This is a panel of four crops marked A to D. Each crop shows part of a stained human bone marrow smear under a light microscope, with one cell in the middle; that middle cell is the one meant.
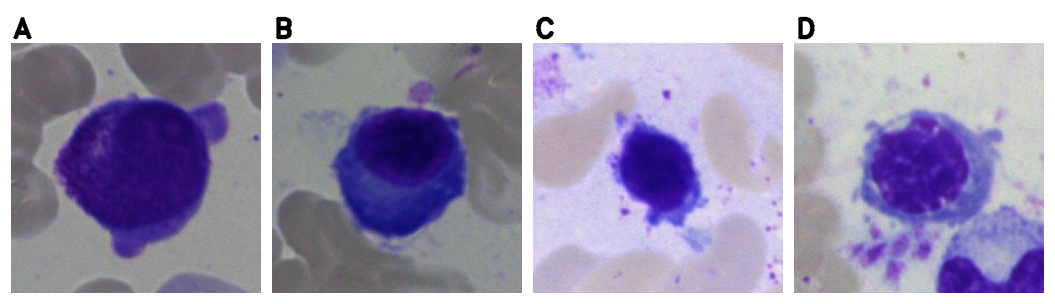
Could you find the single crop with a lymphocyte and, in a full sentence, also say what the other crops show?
Crop C counts as a lymphocyte, while crop A is a blast, crop B is a plasma cell and crop D is an erythroblast.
